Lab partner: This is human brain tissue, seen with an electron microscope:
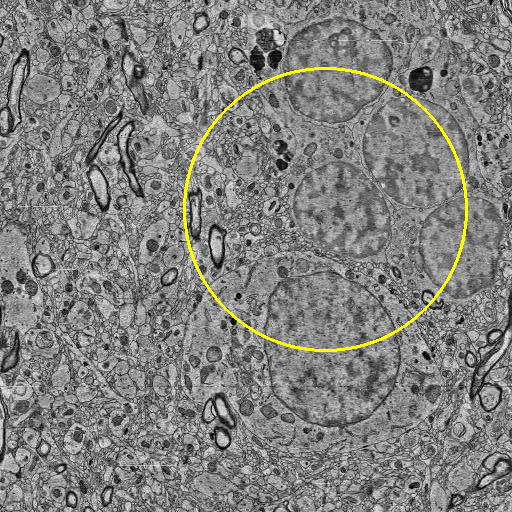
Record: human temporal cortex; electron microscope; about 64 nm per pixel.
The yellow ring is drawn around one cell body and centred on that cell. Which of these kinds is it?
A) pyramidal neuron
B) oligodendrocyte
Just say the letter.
B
